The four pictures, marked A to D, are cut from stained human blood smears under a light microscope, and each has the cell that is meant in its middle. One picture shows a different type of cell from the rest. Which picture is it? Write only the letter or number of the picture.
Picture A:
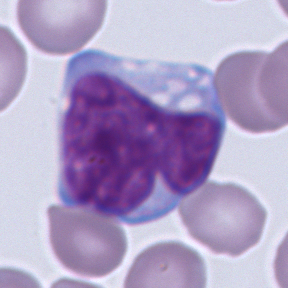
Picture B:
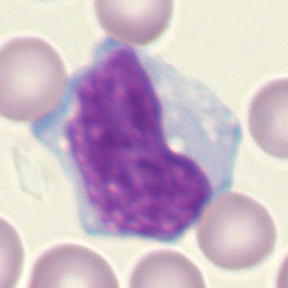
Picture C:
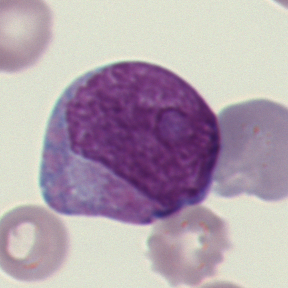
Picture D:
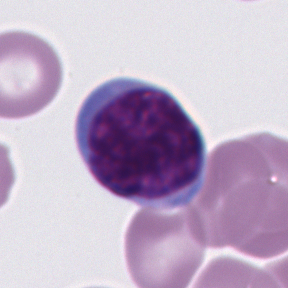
C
